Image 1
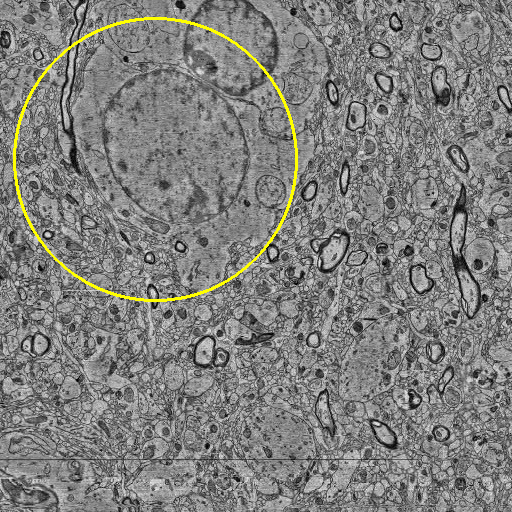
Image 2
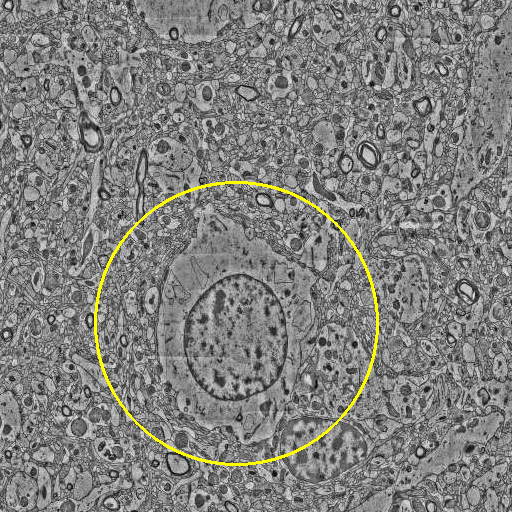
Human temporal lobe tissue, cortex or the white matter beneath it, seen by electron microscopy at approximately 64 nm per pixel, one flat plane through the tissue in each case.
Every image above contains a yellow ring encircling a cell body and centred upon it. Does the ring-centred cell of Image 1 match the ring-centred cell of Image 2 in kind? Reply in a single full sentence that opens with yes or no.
Yes, the cell at the ring's centre in Image 1 is the same kind as that in Image 2.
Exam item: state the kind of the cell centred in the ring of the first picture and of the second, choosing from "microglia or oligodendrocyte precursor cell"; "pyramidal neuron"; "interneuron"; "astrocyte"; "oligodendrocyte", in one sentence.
Each of the ringed cells, first and second, is an astrocyte.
